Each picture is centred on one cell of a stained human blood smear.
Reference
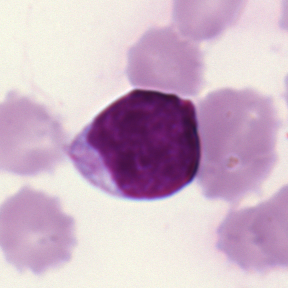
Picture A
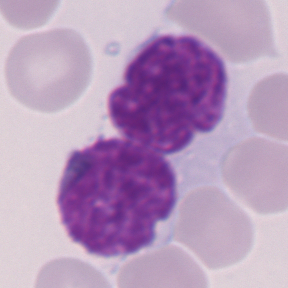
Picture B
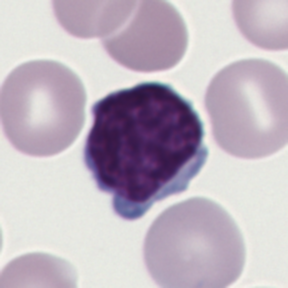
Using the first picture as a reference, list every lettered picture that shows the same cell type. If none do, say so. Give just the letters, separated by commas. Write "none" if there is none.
A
